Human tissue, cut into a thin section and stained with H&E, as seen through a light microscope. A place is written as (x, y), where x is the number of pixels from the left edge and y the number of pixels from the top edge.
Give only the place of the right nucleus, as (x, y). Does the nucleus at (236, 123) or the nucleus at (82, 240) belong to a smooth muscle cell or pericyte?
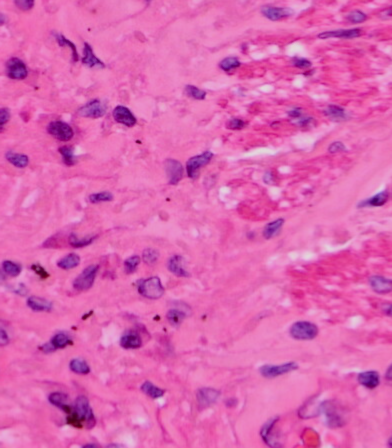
(236, 123)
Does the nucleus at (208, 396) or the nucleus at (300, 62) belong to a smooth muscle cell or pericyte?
(300, 62)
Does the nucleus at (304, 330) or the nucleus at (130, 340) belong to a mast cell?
(304, 330)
